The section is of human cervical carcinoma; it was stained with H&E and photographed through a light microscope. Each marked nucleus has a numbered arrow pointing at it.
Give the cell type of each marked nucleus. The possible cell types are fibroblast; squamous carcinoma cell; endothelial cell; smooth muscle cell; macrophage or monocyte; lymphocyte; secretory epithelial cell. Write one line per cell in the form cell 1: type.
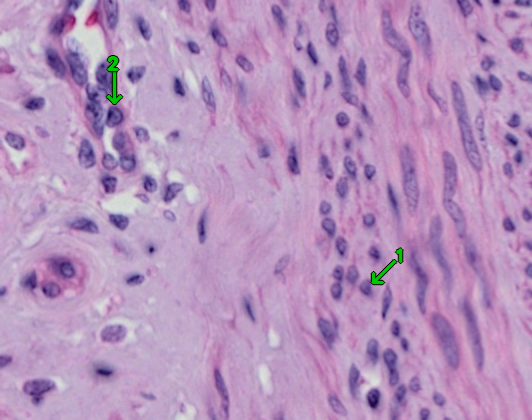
cell 1: smooth muscle cell
cell 2: endothelial cell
